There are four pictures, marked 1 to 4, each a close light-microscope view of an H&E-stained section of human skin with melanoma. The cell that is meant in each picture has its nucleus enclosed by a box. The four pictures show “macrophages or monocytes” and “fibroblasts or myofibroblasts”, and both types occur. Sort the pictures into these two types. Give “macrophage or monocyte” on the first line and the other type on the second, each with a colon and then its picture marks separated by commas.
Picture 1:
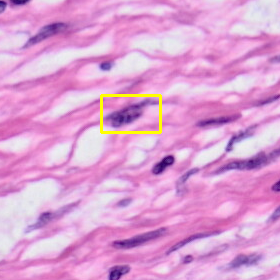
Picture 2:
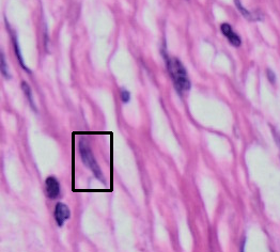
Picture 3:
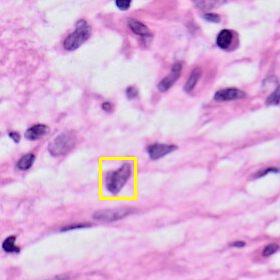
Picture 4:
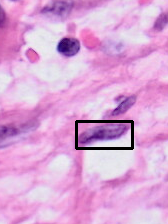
macrophage or monocyte: 3
fibroblast or myofibroblast: 1, 2, 4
